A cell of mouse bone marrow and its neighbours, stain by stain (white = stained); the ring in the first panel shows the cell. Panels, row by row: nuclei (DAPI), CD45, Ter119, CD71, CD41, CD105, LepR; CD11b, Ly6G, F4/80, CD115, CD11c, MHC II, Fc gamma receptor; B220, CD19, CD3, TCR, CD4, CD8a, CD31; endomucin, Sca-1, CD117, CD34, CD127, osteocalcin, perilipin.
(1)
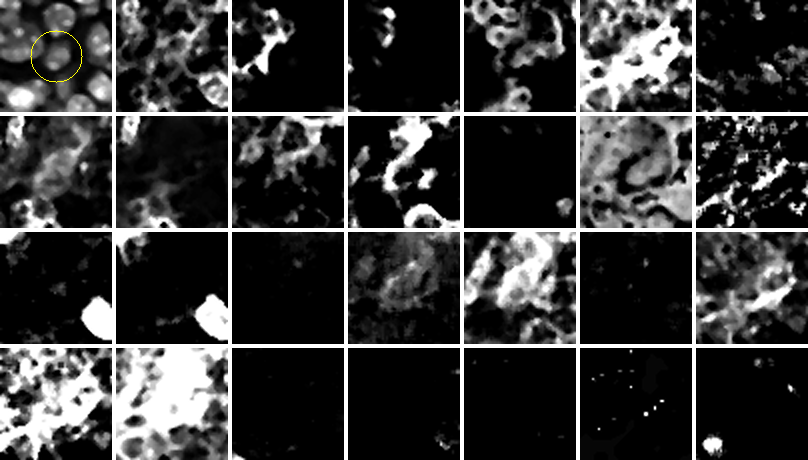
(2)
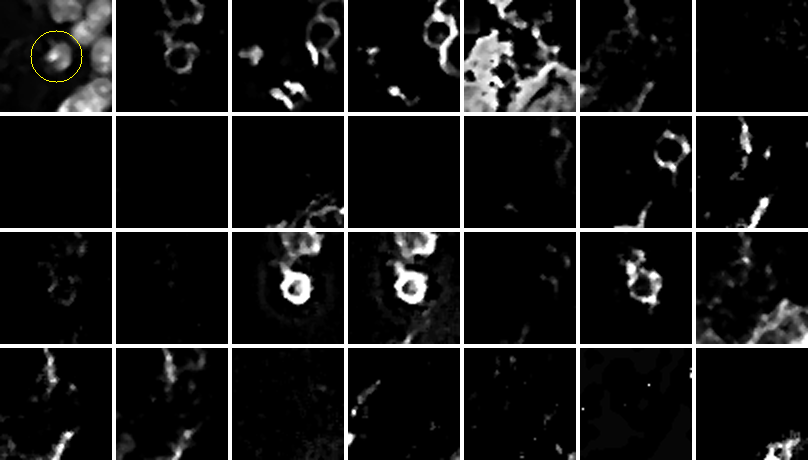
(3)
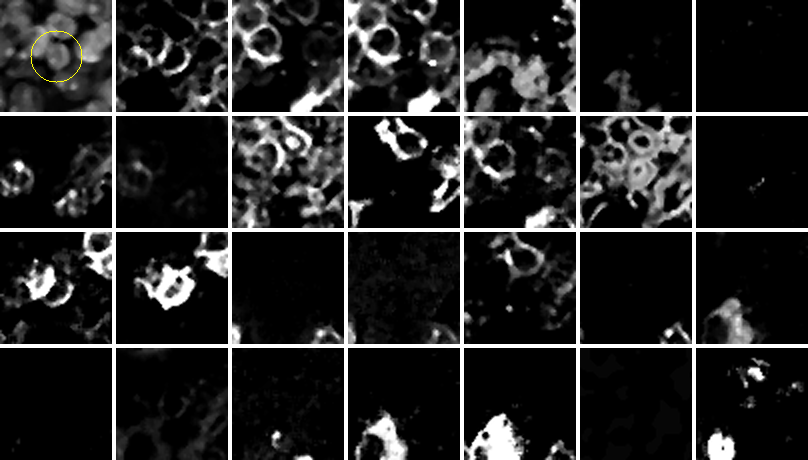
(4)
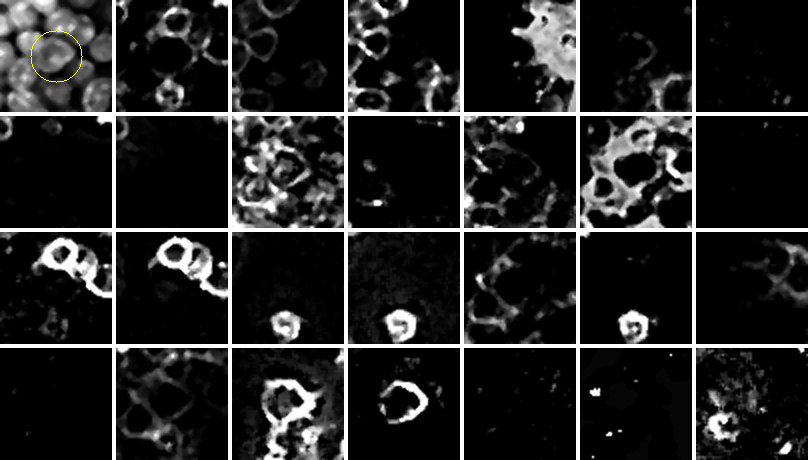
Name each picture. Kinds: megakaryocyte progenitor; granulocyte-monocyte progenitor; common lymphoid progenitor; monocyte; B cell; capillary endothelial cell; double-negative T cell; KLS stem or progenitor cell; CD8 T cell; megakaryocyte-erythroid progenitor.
1. monocyte
2. double-negative T cell
3. B cell
4. megakaryocyte-erythroid progenitor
